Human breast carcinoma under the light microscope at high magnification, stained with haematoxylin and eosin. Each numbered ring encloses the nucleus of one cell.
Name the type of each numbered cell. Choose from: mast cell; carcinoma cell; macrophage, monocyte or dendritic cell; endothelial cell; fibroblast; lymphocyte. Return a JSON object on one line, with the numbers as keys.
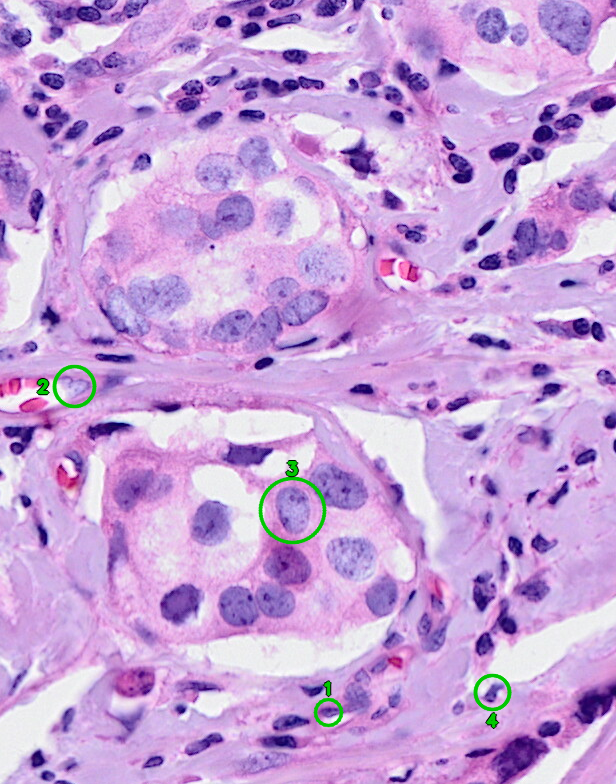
{"1": "endothelial cell", "2": "endothelial cell", "3": "carcinoma cell", "4": "lymphocyte"}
